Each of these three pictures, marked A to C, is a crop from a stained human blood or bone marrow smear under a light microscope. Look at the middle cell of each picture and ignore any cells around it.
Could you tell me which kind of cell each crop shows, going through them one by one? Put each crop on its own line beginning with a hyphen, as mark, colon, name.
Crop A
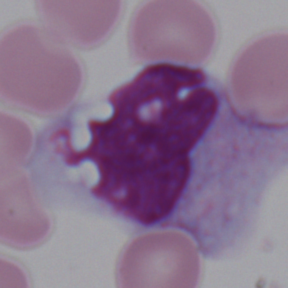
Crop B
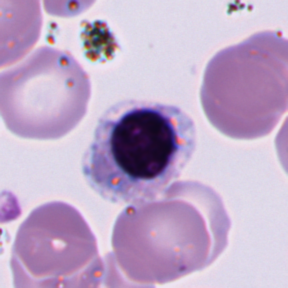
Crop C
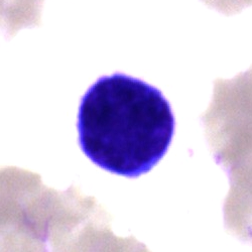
- A: monocyte
- B: erythroblast
- C: lymphocyte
